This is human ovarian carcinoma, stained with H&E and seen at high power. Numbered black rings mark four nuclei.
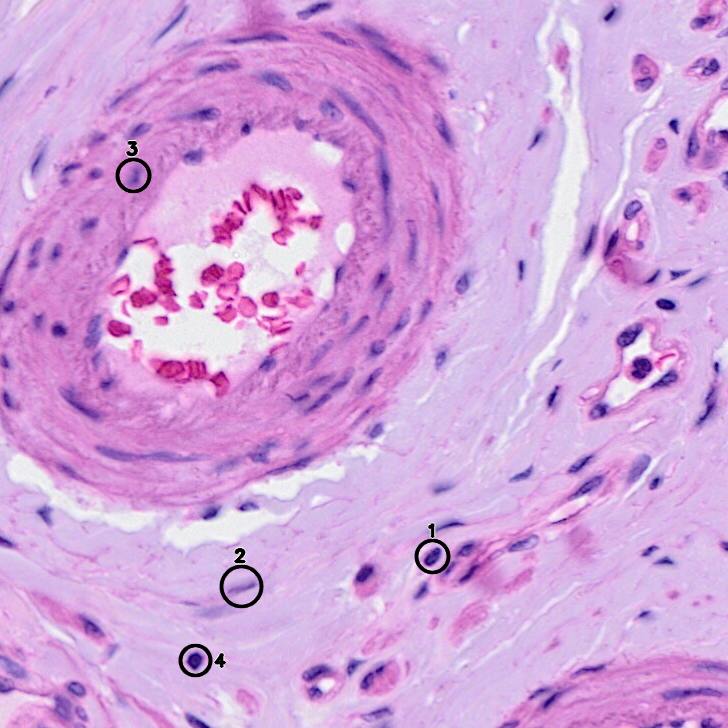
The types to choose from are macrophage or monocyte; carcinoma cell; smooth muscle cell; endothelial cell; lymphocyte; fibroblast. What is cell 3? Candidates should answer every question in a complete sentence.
The cell pointed out by number 3 is a smooth muscle cell.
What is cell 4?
The cell that carries the label 4 is a lymphocyte.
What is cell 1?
Belonging to a lymphocyte is the nucleus that carries the number 1.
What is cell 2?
The cell numbered 2 represents a fibroblast.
